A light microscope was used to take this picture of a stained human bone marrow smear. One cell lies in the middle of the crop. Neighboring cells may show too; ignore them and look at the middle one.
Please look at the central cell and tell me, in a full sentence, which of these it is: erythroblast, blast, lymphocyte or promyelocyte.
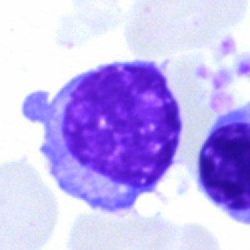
The crop centres on a single cell, and that cell is a lymphocyte.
